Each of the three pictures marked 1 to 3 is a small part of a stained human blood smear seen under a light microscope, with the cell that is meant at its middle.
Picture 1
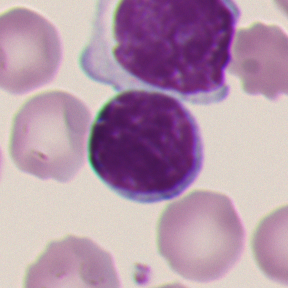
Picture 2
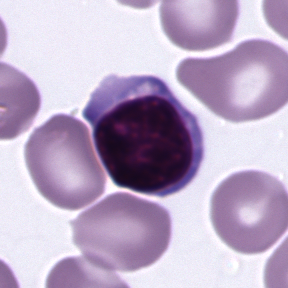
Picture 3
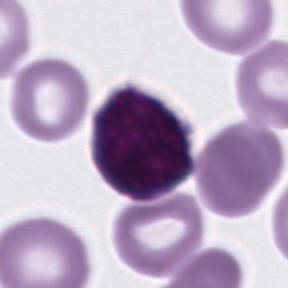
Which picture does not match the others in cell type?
3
